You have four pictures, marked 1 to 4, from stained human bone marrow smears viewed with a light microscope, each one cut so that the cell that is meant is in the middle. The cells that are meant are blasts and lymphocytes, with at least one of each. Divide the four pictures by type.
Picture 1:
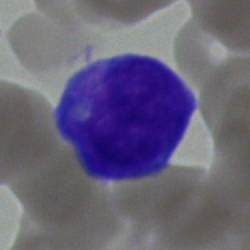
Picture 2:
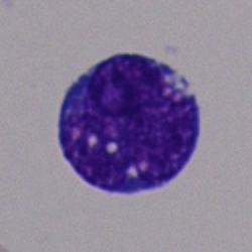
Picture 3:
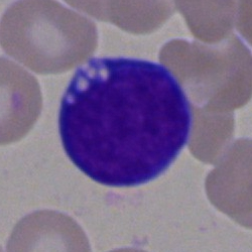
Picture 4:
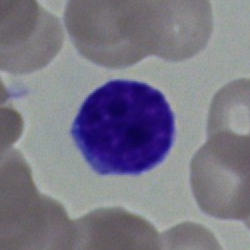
1: blast
2: blast
3: blast
4: lymphocyte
